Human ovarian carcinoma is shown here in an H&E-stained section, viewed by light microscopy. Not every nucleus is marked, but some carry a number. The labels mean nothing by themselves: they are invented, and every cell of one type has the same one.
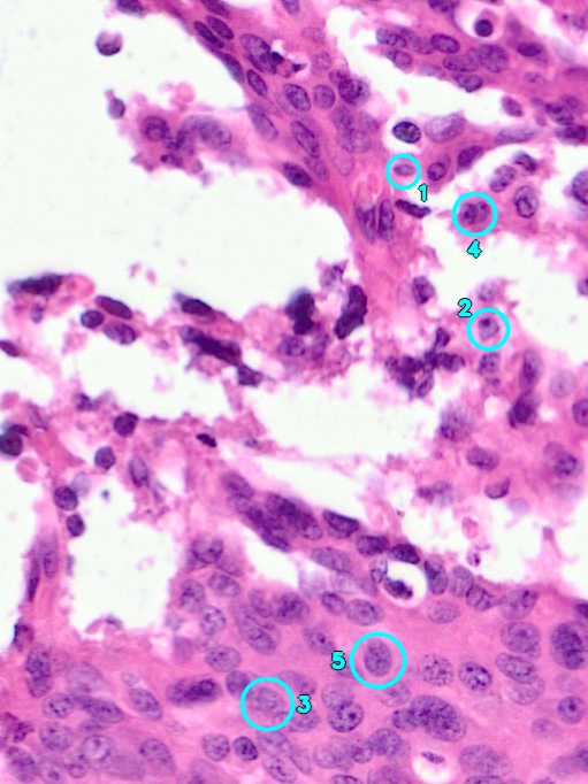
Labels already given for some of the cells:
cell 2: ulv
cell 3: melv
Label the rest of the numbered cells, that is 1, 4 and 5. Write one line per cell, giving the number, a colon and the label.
1: ulv
4: ulv
5: melv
